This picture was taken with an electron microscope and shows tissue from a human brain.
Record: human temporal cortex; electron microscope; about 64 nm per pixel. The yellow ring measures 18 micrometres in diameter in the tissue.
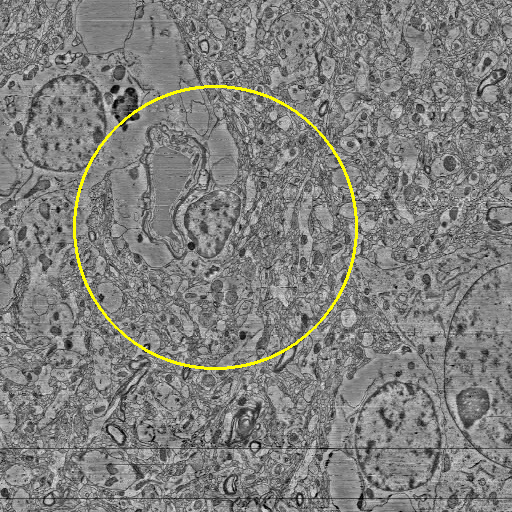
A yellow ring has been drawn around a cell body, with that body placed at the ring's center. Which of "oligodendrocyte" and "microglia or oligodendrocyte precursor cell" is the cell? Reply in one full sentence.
In this picture, a microglial cell or oligodendrocyte precursor cell is the cell at the center of the yellow ring.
